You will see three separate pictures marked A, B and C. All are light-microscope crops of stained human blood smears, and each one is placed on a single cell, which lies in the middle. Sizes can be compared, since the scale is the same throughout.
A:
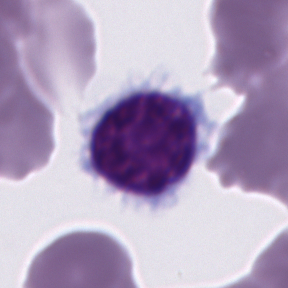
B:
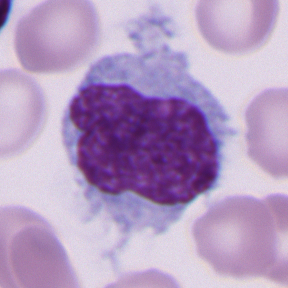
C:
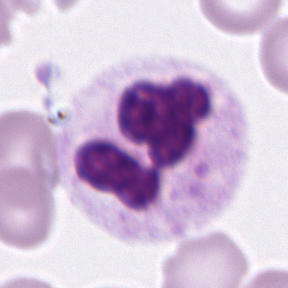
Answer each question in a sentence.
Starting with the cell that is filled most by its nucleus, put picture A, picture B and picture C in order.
They run A, B, C, the most filled first.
